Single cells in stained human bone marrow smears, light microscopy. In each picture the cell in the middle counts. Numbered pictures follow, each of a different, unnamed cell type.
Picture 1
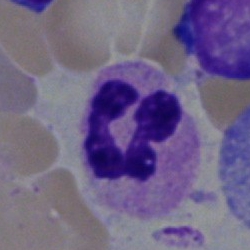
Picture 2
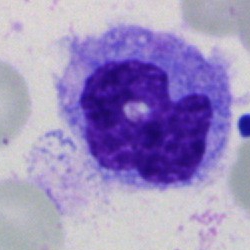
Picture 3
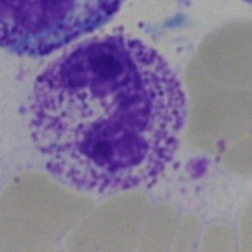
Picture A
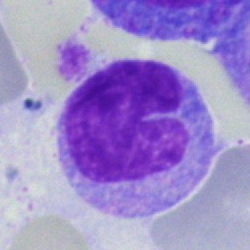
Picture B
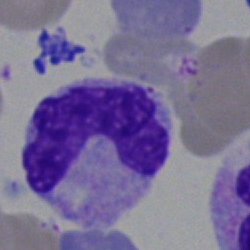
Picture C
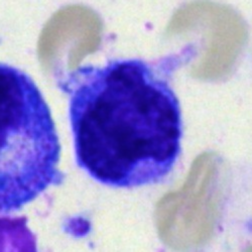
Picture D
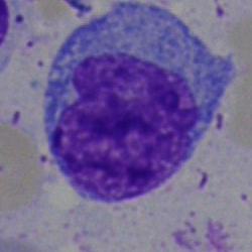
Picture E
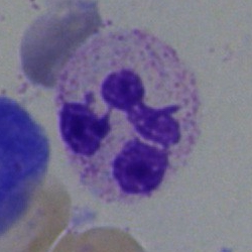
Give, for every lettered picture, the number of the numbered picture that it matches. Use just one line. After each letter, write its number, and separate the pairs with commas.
A 2, B 3, C 2, D 2, E 1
